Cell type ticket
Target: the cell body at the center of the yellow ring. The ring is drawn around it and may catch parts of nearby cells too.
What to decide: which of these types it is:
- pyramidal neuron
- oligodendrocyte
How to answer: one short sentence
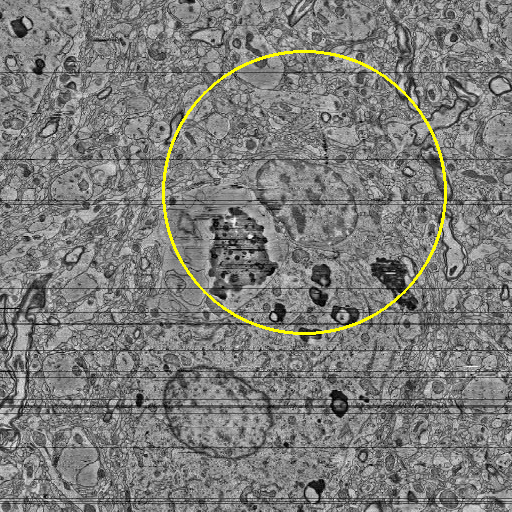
The cell at the center of the ring is an oligodendrocyte.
